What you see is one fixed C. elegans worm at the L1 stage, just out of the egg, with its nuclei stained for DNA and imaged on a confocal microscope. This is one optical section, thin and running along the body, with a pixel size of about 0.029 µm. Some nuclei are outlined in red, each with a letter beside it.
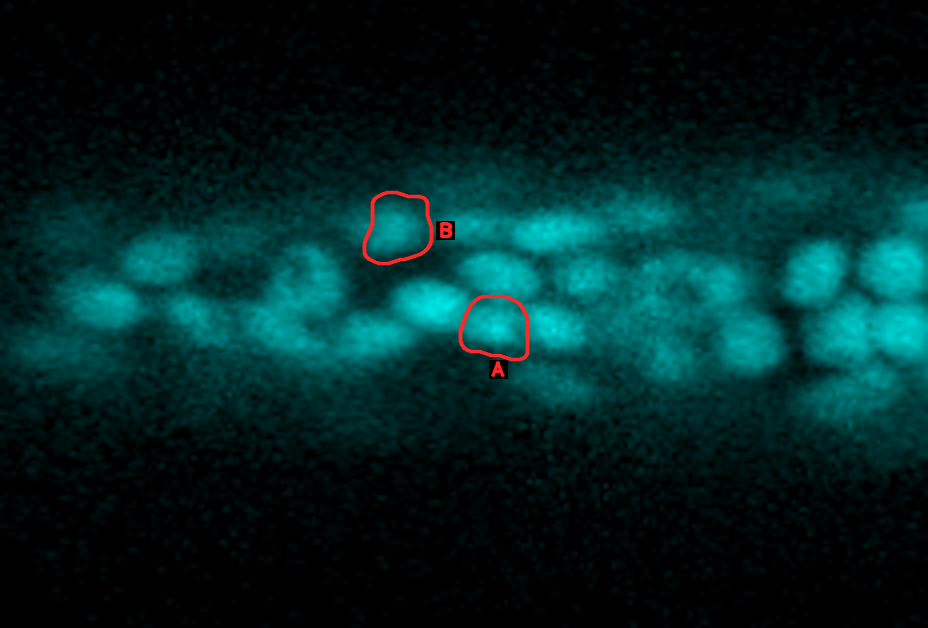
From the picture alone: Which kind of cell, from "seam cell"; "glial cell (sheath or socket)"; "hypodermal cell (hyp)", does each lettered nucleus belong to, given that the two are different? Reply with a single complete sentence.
A is in a glial cell (sheath or socket) and B is in a hypodermal cell (hyp).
